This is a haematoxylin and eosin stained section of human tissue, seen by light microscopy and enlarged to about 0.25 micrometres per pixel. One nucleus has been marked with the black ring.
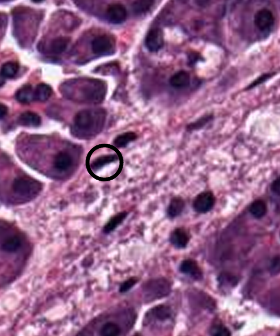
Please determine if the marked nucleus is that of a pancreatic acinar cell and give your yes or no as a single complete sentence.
No, that the marked nucleus belongs to a pancreatic acinar cell does not hold; it belongs to a supporting cell.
